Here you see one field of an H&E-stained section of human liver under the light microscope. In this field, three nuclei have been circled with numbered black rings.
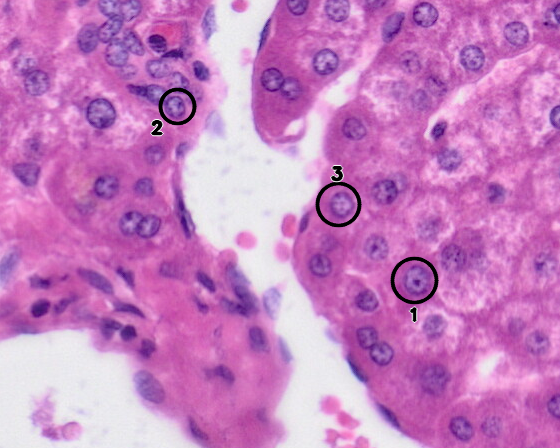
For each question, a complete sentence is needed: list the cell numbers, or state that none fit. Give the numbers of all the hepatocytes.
The identity of cells 1 and 3: they are hepatocytes.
